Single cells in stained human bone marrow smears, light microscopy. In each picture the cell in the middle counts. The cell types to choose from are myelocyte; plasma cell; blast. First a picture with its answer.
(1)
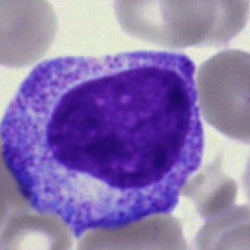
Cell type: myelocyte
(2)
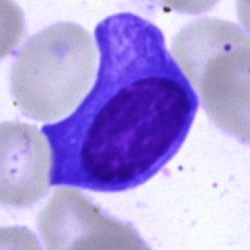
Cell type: plasma cell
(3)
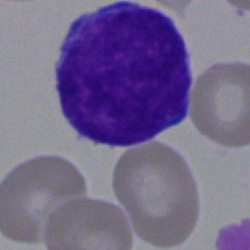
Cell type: blast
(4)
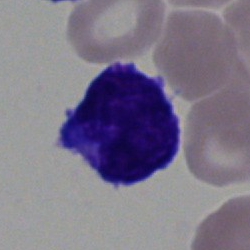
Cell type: blast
